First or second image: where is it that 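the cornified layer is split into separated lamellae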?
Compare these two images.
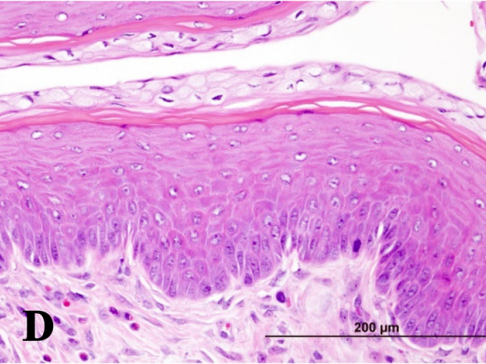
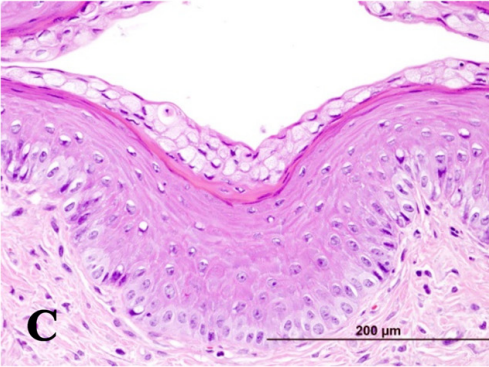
The first image.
